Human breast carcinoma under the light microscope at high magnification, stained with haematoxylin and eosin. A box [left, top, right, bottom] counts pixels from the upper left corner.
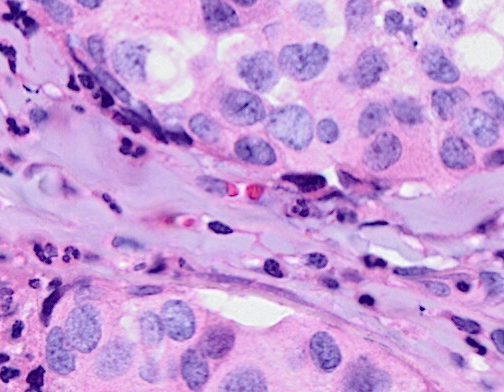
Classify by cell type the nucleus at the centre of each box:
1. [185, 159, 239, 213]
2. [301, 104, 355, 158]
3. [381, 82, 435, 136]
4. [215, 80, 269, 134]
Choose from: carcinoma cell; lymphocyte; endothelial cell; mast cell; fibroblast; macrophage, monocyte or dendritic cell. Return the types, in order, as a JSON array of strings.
["endothelial cell", "carcinoma cell", "carcinoma cell", "carcinoma cell"]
